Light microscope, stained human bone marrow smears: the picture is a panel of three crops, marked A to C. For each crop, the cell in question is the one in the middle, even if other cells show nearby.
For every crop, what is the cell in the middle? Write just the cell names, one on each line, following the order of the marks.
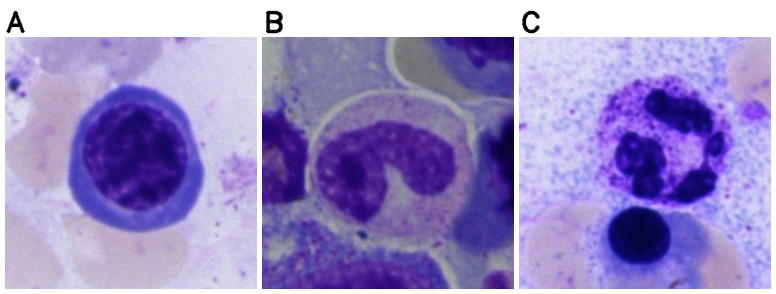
erythroblast
band neutrophil
segmented neutrophil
